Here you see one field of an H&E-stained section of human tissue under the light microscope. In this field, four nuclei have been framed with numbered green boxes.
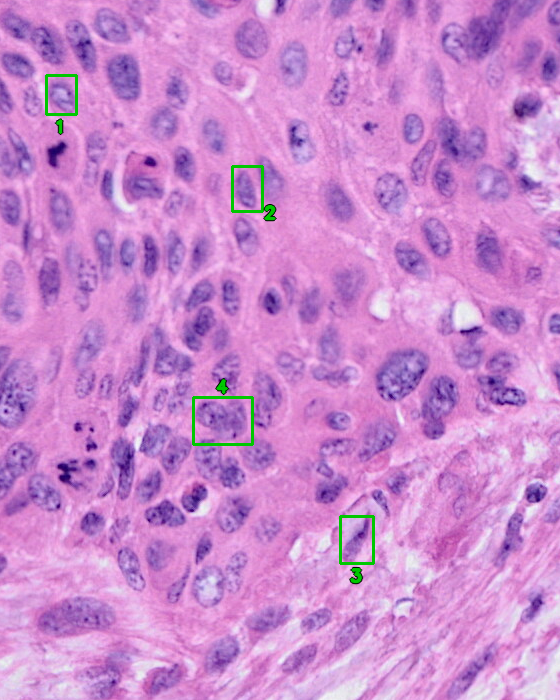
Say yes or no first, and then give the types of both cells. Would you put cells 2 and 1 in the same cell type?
Yes, in terms of cell type, cells 2 and 1 are both squamous carcinoma cells.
